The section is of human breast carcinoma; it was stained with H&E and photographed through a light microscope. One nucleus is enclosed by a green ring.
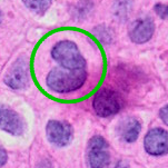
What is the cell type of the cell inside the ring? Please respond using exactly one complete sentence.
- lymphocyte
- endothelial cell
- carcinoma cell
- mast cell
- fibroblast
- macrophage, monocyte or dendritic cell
What the cell inside the ring represents is a carcinoma cell.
